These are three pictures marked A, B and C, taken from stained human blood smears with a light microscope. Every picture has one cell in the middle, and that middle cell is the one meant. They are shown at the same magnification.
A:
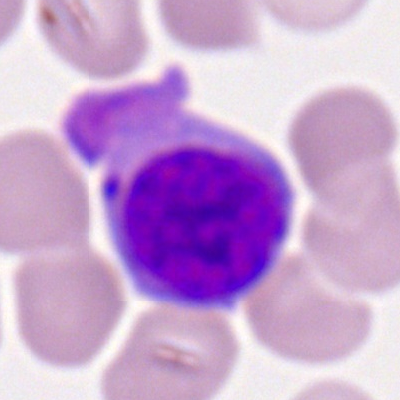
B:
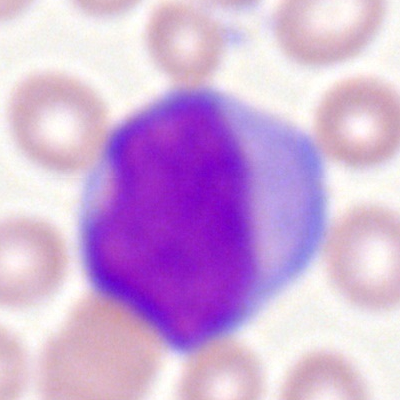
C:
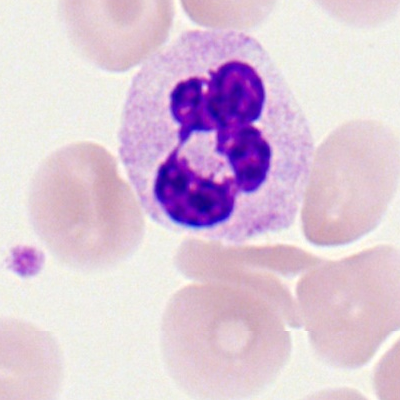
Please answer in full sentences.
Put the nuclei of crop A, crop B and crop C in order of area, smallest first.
The order is C, A, B, beginning with the smallest.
